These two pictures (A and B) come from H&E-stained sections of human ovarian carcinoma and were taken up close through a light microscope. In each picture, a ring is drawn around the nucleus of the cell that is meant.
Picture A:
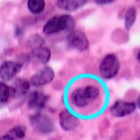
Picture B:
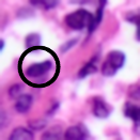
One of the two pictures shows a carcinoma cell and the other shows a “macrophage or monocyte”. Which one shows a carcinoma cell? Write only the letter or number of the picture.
B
